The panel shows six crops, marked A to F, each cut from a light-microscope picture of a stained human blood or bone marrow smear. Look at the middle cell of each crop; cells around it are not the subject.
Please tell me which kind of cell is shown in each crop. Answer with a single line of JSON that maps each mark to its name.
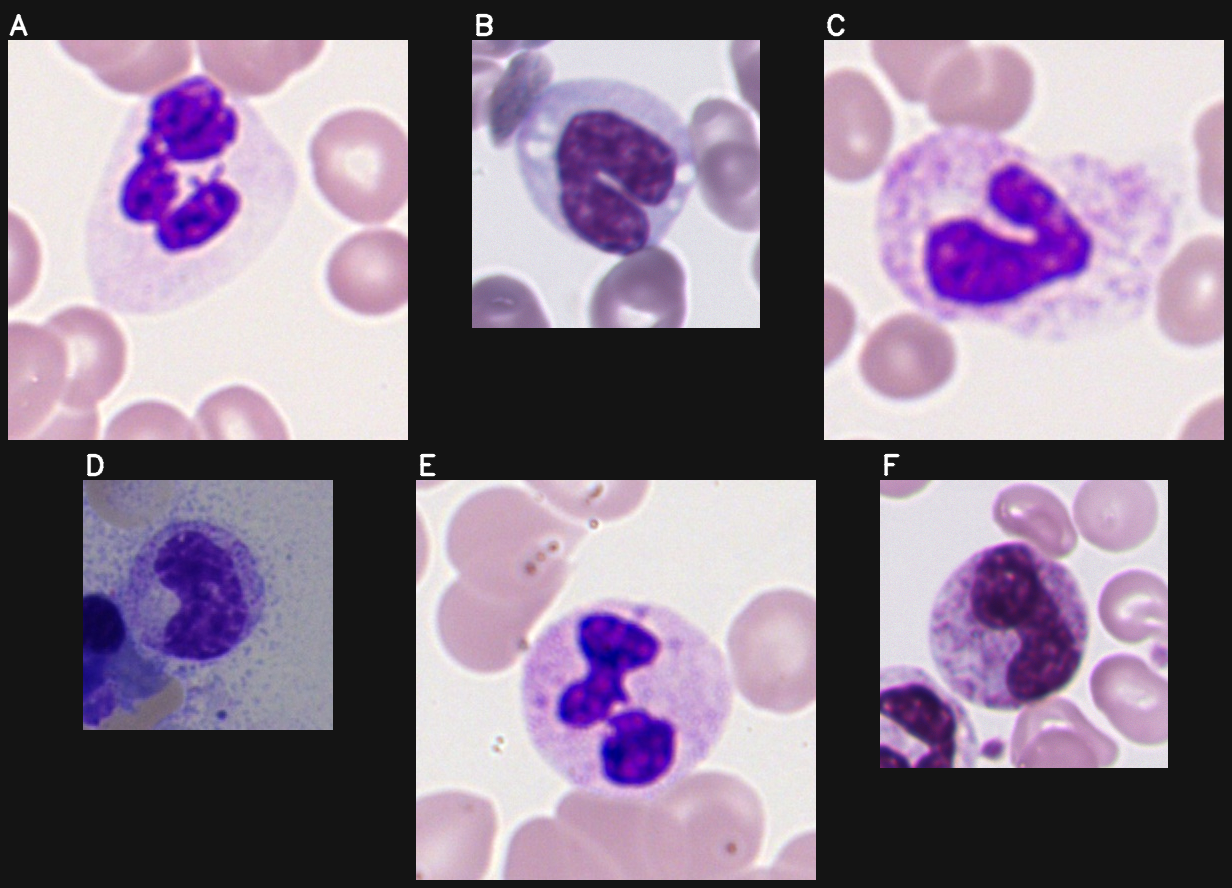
{"A": "segmented neutrophil", "B": "band neutrophil", "C": "band neutrophil", "D": "band neutrophil", "E": "segmented neutrophil", "F": "band neutrophil"}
